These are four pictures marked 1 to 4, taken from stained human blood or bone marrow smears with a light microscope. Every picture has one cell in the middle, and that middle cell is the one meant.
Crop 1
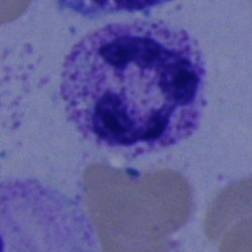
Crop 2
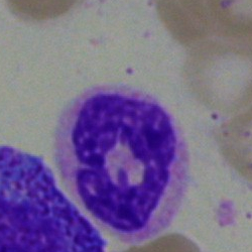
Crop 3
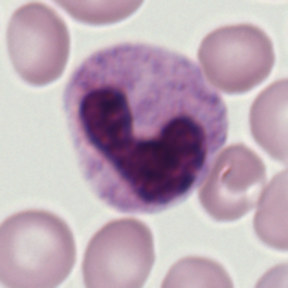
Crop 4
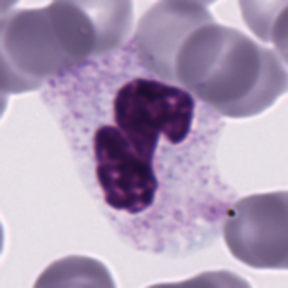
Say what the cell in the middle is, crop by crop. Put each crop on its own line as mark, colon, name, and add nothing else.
1: segmented neutrophil
2: band neutrophil
3: segmented neutrophil
4: segmented neutrophil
